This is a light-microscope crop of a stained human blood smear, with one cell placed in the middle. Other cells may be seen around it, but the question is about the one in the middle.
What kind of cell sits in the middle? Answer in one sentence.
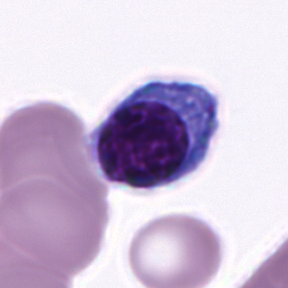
The middle of this crop is occupied by a plasma cell.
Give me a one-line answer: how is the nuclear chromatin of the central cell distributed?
The nucleus shows chromatin that is coarsely clumped.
